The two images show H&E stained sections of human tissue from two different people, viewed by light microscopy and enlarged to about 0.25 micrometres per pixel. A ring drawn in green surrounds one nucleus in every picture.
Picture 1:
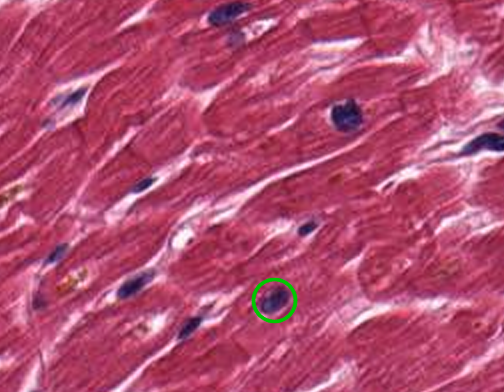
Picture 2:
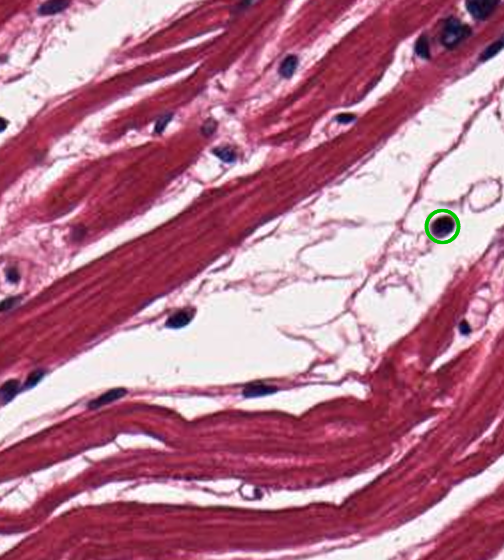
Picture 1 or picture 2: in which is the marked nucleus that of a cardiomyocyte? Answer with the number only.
1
